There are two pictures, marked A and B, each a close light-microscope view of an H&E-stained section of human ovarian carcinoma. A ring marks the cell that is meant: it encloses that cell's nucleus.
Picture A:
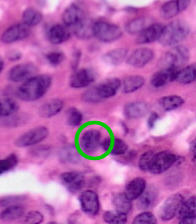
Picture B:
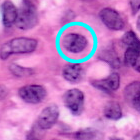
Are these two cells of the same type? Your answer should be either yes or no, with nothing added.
no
